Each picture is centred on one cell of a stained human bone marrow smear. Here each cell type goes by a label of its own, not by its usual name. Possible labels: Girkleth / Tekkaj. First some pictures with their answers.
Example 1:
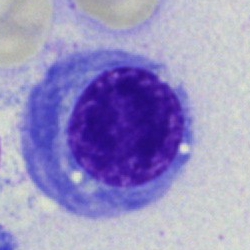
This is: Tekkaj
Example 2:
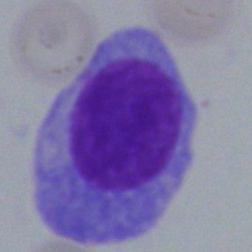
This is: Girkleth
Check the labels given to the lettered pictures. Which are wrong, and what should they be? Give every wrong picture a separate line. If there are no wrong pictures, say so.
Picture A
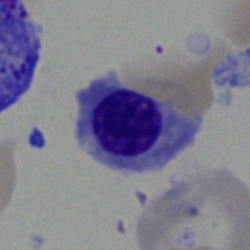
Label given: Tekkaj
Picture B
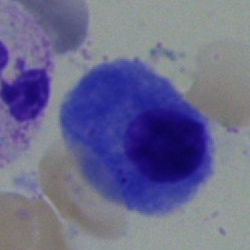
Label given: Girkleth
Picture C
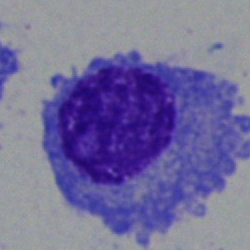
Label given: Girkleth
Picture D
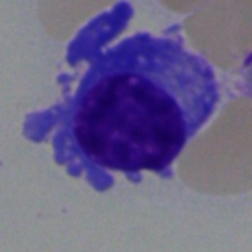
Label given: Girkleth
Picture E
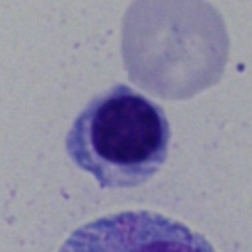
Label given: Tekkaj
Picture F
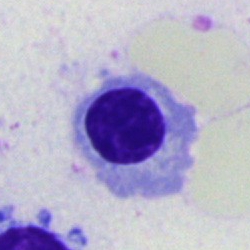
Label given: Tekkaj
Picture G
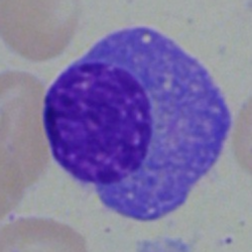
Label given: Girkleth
None of the labels needs changing.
